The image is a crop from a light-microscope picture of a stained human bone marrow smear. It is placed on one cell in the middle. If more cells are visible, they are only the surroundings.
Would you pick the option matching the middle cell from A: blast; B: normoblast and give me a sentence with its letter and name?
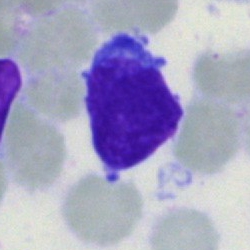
That the central cell is a blast makes option A correct.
